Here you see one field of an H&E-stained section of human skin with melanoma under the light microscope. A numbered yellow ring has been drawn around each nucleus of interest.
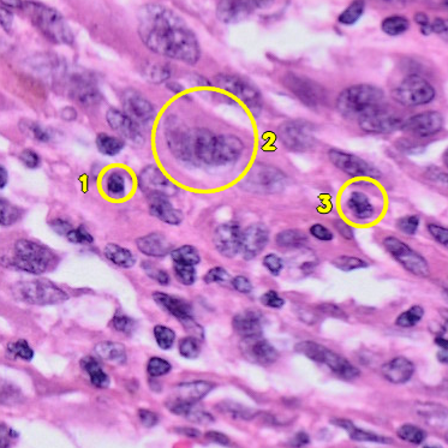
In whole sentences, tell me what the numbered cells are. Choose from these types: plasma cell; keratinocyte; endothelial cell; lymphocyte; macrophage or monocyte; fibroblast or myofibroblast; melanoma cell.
Cell 1 is a lymphocyte, cell 2 is a melanoma cell and cell 3 is a lymphocyte.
